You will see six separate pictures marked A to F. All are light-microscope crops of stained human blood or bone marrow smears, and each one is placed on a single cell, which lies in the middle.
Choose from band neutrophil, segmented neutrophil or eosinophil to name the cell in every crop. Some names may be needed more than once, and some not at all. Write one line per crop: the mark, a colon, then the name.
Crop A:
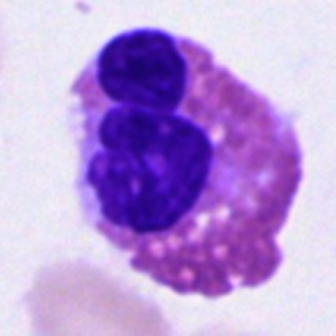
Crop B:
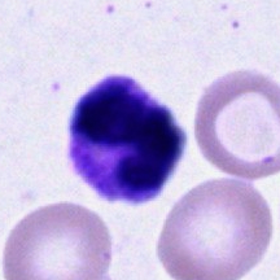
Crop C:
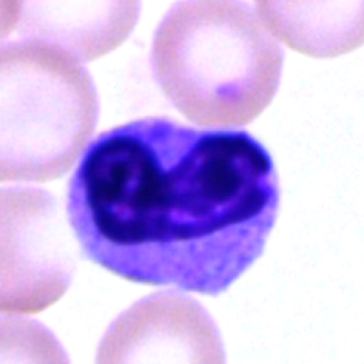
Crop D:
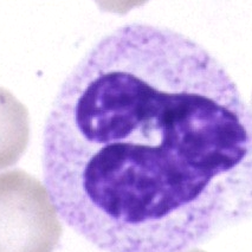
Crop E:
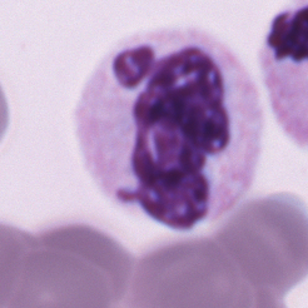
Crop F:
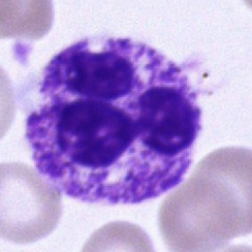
A: eosinophil
B: segmented neutrophil
C: band neutrophil
D: band neutrophil
E: segmented neutrophil
F: segmented neutrophil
